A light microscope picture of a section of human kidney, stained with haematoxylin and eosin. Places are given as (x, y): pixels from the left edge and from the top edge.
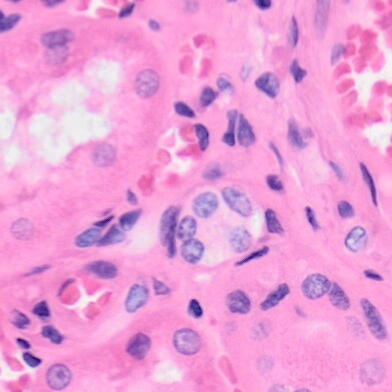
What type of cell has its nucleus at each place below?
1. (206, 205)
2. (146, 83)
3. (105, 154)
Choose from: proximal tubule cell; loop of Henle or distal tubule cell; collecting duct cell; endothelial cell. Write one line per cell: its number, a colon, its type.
1: collecting duct cell
2: proximal tubule cell
3: proximal tubule cell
